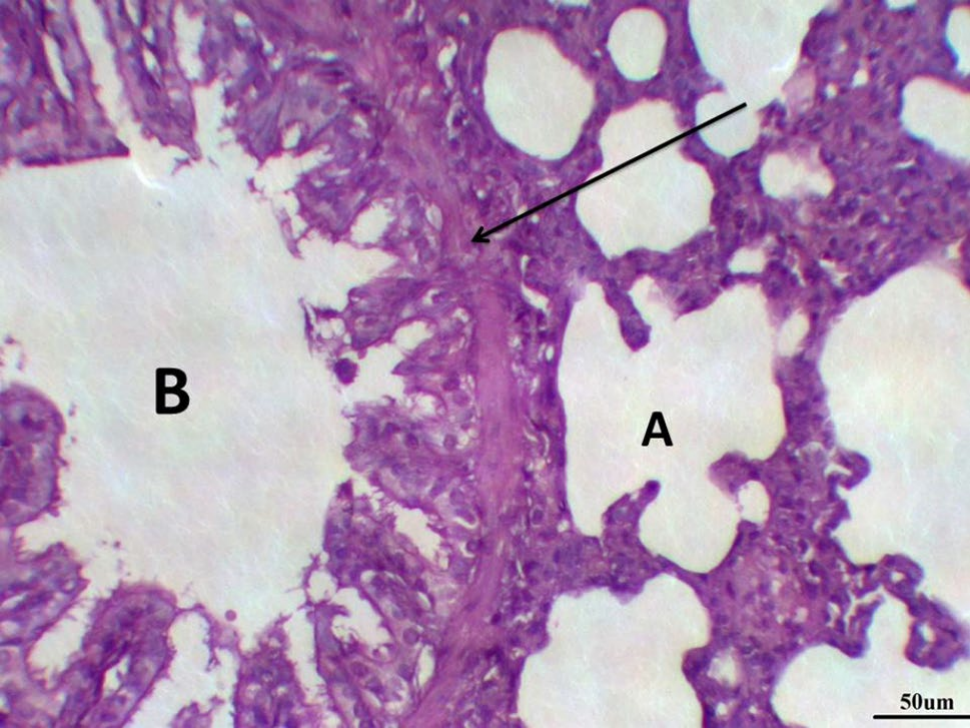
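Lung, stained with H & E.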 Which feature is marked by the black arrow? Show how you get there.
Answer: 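The arrow points to a pink band of elongated fibres. The band runs vertically between the folded epithelium of the airway and the alveoli.
Hence: musculosa layer.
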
